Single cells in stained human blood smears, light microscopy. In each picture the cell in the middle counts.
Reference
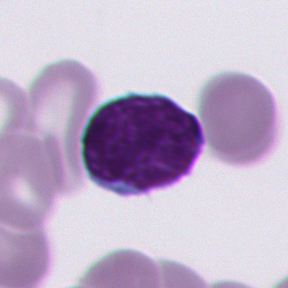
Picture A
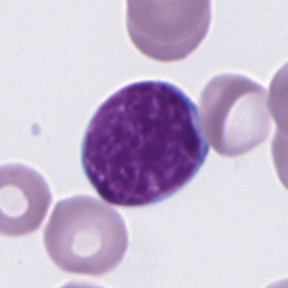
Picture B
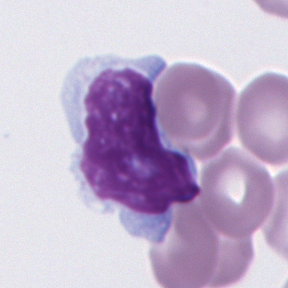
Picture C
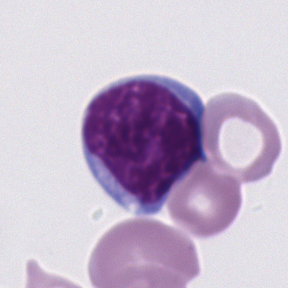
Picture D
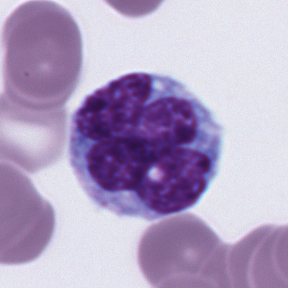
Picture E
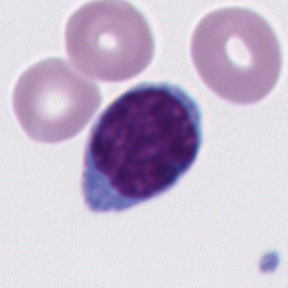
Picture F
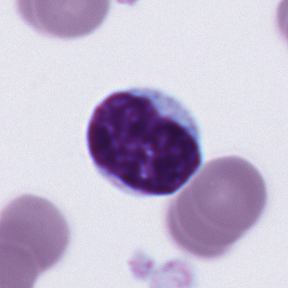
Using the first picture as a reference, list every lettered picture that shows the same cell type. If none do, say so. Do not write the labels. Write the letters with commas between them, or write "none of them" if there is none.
A, B, C, E, F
